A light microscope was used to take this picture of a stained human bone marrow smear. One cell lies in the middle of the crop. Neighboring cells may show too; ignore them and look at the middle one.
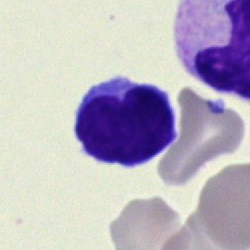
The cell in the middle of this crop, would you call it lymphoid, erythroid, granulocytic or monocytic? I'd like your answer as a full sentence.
The lineage represented by the central cell is lymphoid.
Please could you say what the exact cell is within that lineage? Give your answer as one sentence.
The cell in the exact centre of the crop is a lymphocyte.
